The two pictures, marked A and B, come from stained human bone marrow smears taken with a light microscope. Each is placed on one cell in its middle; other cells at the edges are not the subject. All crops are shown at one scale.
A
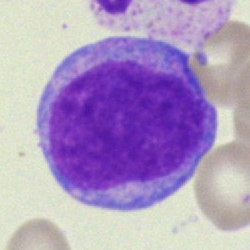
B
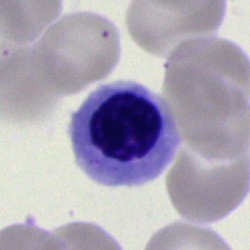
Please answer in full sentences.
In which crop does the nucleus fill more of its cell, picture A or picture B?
It is the cell in picture A that is filled more by its nucleus.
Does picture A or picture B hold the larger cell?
Larger is the cell in picture A, at roughly 2.5 times the area of the other.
